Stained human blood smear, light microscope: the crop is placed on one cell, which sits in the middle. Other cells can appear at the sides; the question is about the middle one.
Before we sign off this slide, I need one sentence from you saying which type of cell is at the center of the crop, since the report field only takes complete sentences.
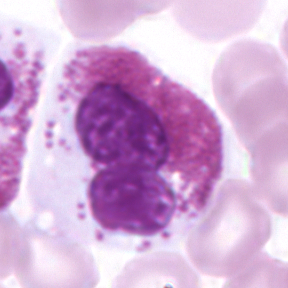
The cell sitting right in the middle is an eosinophil.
